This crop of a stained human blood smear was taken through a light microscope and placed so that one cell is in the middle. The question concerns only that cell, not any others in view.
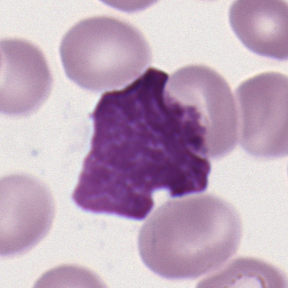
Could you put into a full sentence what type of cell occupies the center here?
The cell in the middle of the field of view is a smudge cell.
